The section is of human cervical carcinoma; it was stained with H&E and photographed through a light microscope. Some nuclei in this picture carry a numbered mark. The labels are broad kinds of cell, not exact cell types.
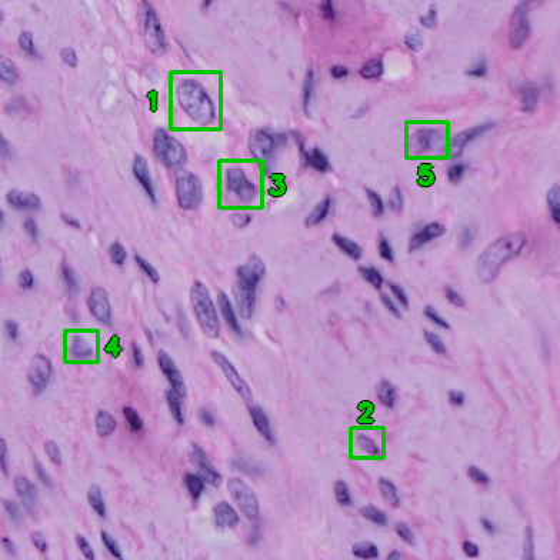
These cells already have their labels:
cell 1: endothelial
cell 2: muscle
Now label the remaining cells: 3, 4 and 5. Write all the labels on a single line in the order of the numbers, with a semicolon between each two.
endothelial; muscle; muscle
